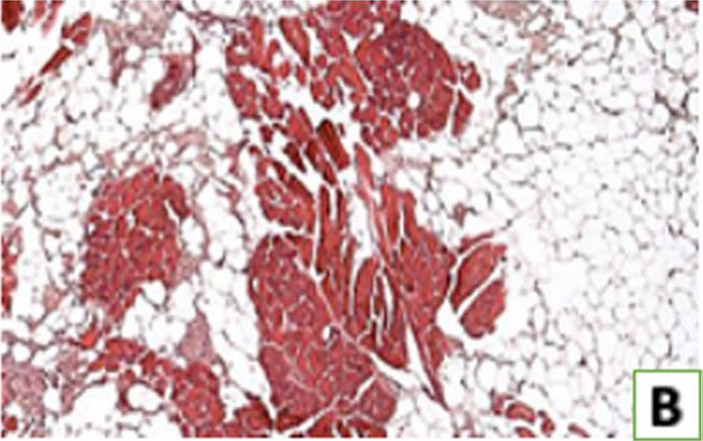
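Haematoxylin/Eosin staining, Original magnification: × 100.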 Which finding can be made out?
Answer: Fatty infiltration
